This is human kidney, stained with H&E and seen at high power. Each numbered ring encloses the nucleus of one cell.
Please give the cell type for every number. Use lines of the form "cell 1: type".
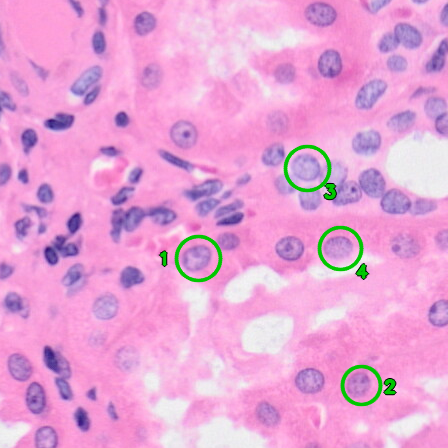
cell 1: proximal tubule cell
cell 2: proximal tubule cell
cell 3: collecting duct cell
cell 4: proximal tubule cell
